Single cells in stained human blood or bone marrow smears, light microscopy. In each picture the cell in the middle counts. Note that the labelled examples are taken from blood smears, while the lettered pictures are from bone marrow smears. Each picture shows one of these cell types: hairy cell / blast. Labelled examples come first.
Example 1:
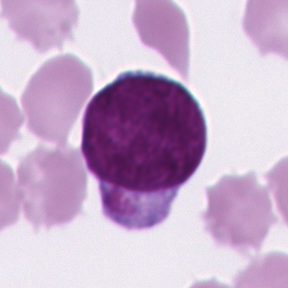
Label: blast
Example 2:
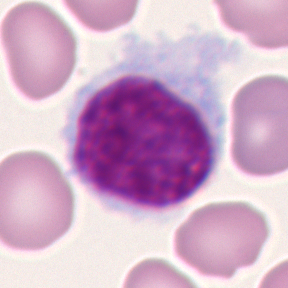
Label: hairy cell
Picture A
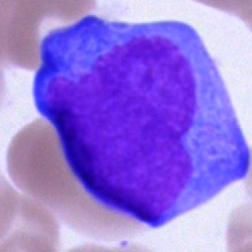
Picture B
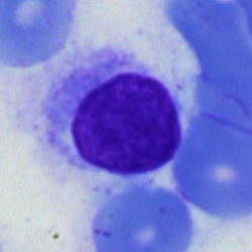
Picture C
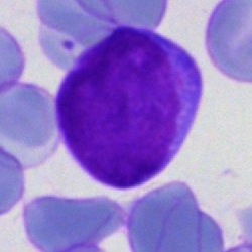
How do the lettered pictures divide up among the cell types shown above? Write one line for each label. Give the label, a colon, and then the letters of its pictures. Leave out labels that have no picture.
hairy cell: B
blast: A, C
